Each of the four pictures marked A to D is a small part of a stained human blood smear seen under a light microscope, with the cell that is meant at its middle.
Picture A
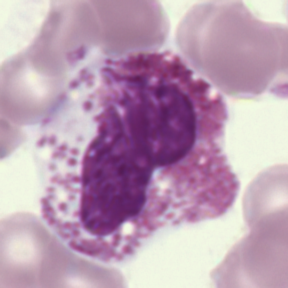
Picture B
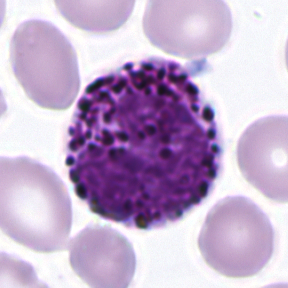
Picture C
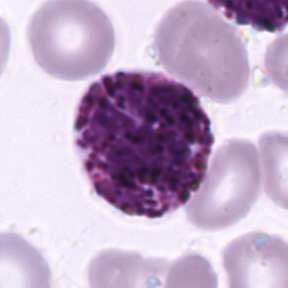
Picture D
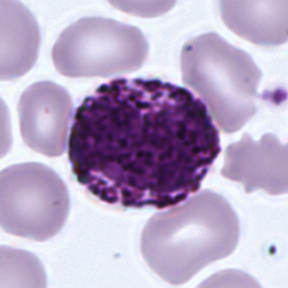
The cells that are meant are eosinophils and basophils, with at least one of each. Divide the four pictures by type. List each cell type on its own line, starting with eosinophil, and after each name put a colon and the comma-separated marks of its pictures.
eosinophil: A
basophil: B, C, D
